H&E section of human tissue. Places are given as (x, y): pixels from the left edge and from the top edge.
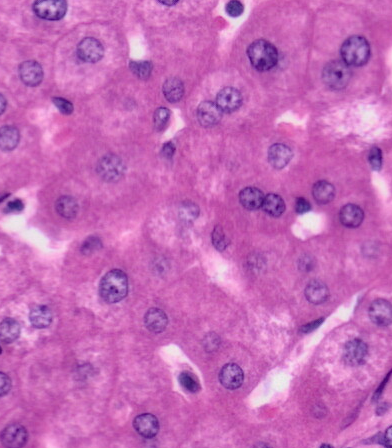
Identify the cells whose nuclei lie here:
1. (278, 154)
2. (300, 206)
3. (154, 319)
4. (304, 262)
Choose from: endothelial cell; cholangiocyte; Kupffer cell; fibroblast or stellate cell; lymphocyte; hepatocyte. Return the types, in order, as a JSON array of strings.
["hepatocyte", "fibroblast or stellate cell", "hepatocyte", "hepatocyte"]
